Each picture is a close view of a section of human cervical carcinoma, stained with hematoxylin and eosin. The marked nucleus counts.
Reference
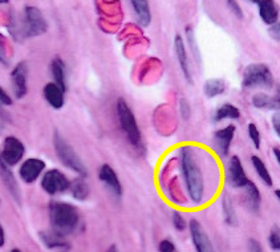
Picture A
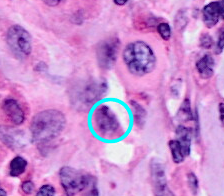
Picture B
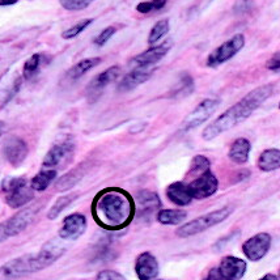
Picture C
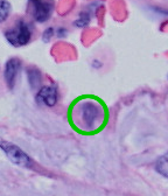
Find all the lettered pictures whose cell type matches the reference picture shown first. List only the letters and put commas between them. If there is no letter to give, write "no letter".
A, C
